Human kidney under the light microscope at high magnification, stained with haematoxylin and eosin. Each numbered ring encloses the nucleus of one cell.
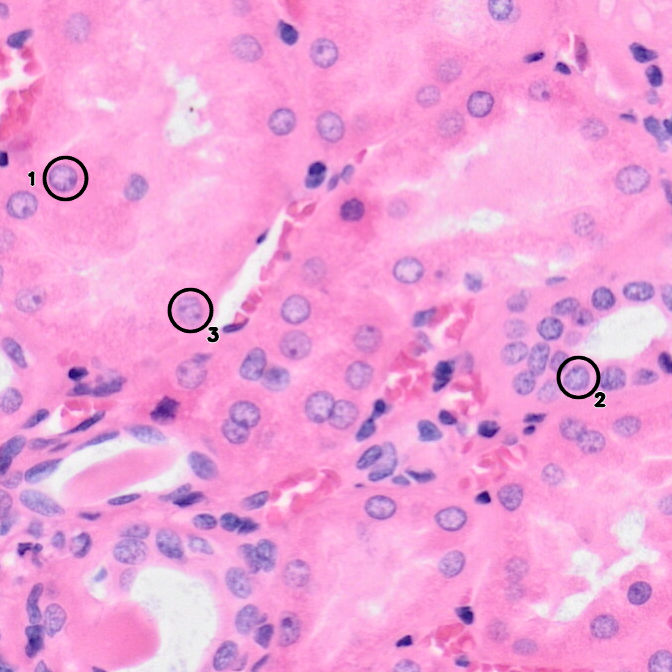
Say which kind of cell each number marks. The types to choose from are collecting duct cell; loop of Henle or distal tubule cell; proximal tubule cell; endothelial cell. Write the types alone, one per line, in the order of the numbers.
proximal tubule cell
collecting duct cell
proximal tubule cell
